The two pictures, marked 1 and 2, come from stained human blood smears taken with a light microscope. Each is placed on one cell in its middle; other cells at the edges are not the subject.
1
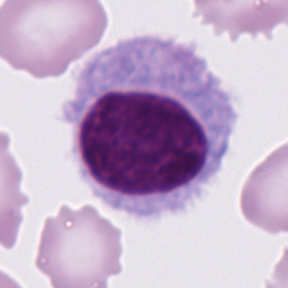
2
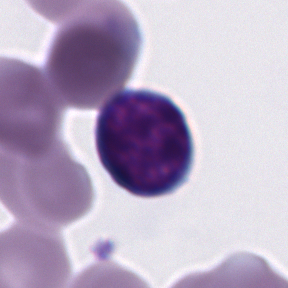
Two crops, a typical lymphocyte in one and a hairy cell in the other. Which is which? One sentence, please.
Crop 1 is to be read as a hairy cell and crop 2 as a typical lymphocyte.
